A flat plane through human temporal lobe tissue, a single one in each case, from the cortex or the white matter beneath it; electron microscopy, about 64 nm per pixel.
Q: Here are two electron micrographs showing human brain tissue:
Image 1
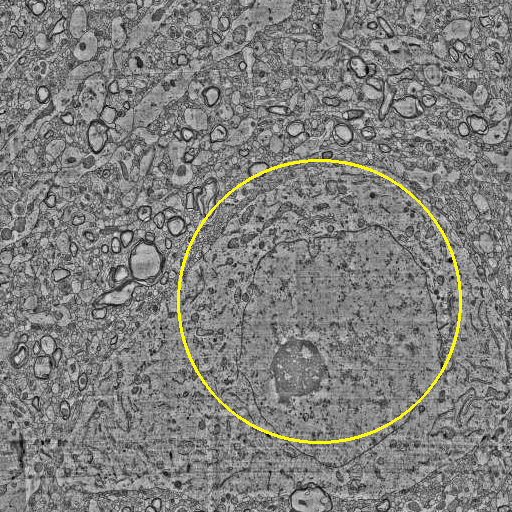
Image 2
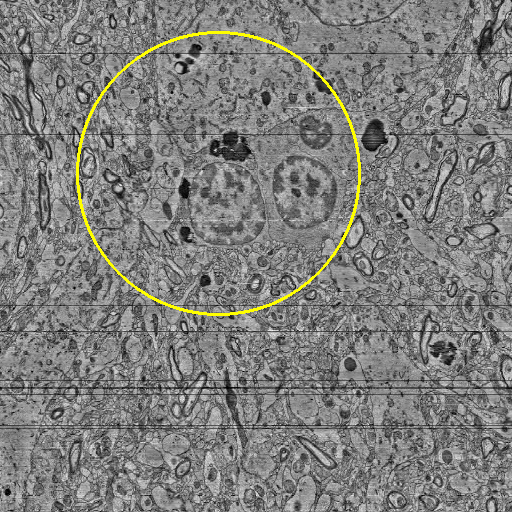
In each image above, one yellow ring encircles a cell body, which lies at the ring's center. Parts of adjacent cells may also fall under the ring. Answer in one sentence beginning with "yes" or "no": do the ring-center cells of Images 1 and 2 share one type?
No, in Images 1 and 2, the ring-center cells are of two types.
